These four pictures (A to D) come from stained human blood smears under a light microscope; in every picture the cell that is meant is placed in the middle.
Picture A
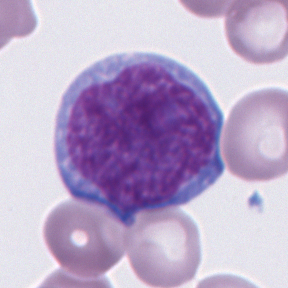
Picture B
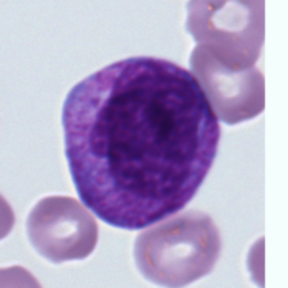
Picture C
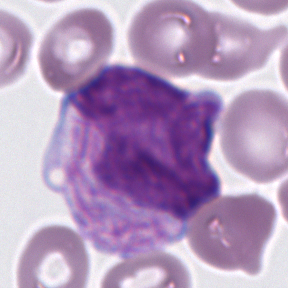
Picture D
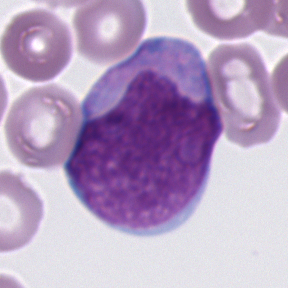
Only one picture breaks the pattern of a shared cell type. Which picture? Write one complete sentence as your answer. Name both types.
The different one is picture A; it shows a myeloblast, whereas all the others show atypical promyelocytes.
